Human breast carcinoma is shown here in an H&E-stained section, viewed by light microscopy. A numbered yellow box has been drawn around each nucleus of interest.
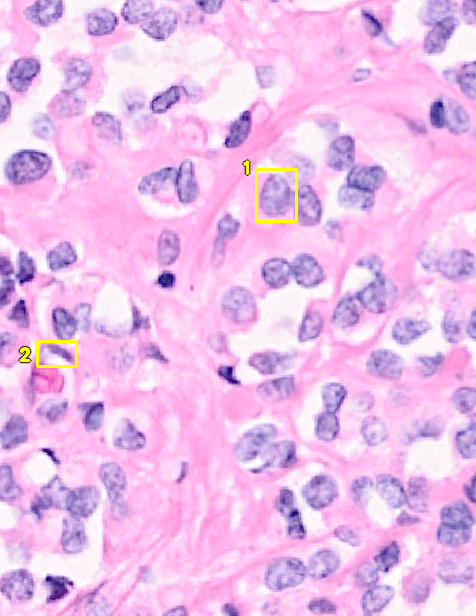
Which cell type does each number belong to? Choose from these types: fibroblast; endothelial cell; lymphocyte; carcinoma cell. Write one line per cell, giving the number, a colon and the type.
1: carcinoma cell
2: endothelial cell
